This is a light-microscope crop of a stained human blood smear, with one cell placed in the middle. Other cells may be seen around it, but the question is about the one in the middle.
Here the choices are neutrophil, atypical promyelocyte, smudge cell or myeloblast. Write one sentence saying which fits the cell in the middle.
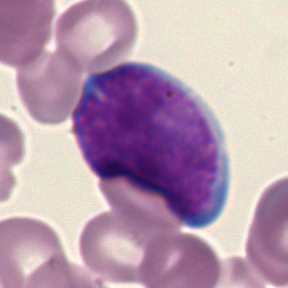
The centrally placed cell is classified as a myeloblast.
